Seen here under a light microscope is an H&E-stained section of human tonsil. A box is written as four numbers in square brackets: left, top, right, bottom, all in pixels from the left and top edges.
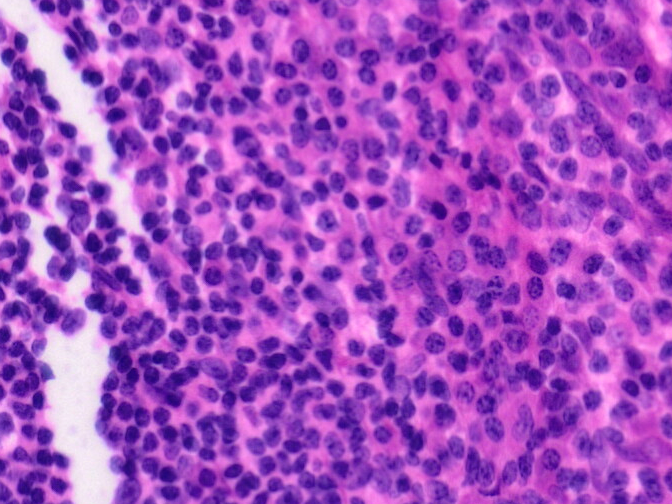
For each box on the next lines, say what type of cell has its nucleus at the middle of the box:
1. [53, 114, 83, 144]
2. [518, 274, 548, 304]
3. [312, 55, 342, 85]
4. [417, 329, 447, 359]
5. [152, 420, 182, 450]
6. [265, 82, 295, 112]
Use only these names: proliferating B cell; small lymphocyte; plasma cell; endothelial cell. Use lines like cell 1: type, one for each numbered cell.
cell 1: small lymphocyte
cell 2: plasma cell
cell 3: plasma cell
cell 4: plasma cell
cell 5: small lymphocyte
cell 6: plasma cell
